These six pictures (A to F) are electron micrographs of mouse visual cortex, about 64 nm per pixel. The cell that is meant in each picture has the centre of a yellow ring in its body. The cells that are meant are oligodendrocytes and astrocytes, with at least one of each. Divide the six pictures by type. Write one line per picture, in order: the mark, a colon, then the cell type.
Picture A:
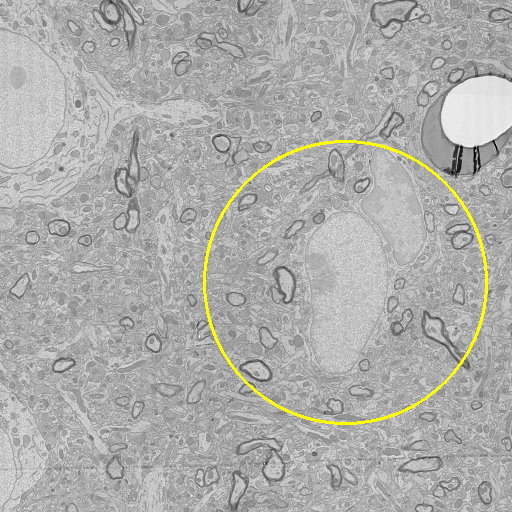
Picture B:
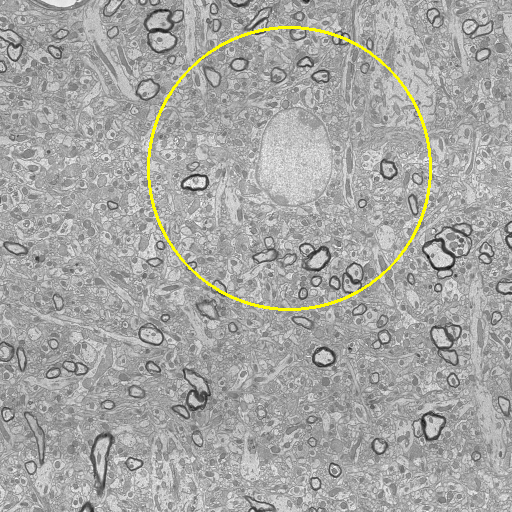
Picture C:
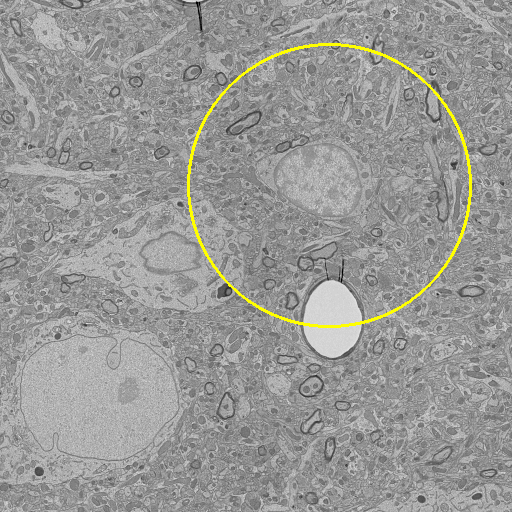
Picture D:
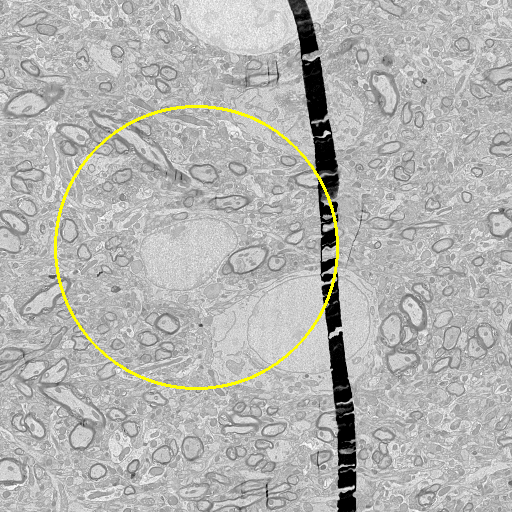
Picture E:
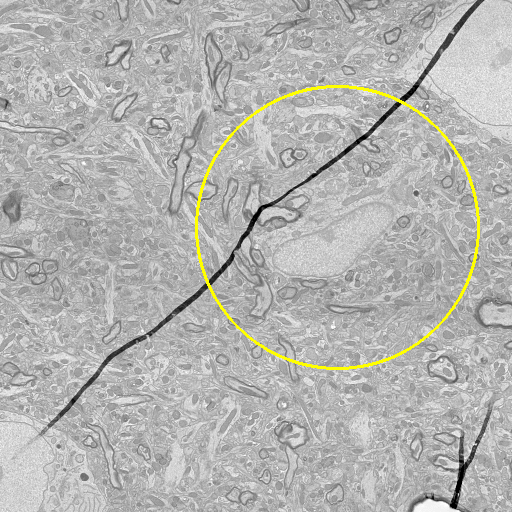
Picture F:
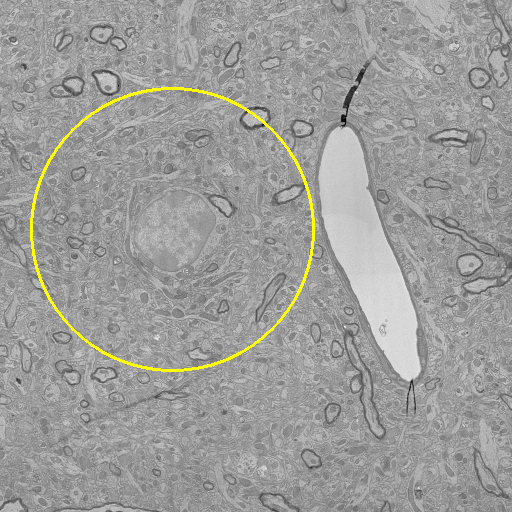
A: astrocyte
B: astrocyte
C: oligodendrocyte
D: astrocyte
E: astrocyte
F: oligodendrocyte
